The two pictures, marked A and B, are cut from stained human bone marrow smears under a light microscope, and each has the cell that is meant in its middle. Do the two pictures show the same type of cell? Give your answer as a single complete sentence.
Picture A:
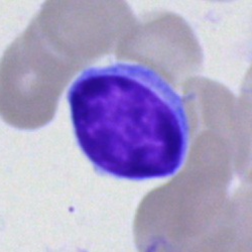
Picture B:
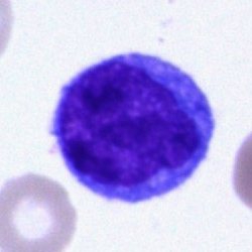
No, they differ: the cell is a lymphocyte in picture A and a blast in picture B.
